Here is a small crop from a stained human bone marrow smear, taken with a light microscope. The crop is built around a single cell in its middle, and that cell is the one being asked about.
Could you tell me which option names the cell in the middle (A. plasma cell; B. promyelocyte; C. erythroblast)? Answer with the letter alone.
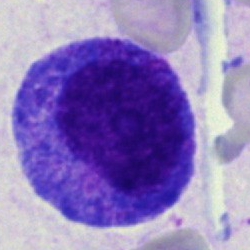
B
